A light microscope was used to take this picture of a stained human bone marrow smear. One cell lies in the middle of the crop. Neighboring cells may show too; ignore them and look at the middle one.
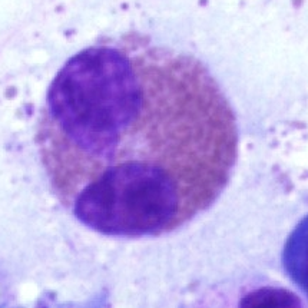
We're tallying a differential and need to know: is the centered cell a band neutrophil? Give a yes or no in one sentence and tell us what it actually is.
No, instead of a band neutrophil, the middle cell is an eosinophil.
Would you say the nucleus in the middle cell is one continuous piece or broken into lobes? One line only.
Its nucleus is lobed, with at least two separate segments.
